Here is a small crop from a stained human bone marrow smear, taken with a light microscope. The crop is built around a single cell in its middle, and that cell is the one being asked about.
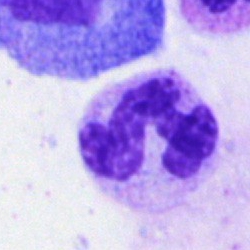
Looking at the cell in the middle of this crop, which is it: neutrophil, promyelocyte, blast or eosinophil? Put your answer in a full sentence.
Classified as a neutrophil is the cell in the middle of this crop.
